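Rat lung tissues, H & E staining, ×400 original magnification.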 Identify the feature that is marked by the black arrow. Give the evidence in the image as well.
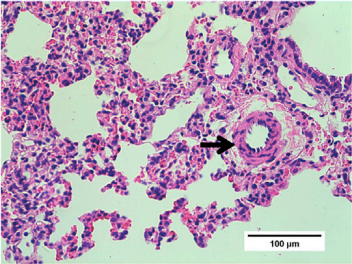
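Pulmonary arteriole. The arrow points to a small round vessel with a pink, layered wall. It is smaller than the scale bar length.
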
